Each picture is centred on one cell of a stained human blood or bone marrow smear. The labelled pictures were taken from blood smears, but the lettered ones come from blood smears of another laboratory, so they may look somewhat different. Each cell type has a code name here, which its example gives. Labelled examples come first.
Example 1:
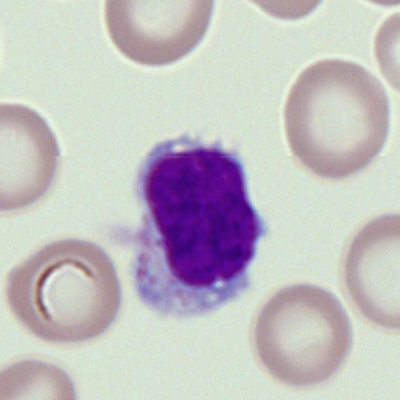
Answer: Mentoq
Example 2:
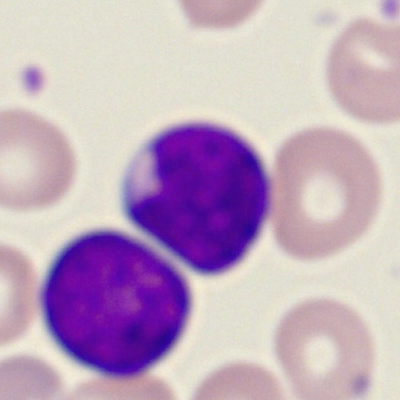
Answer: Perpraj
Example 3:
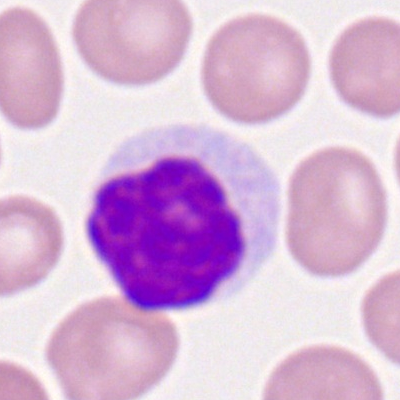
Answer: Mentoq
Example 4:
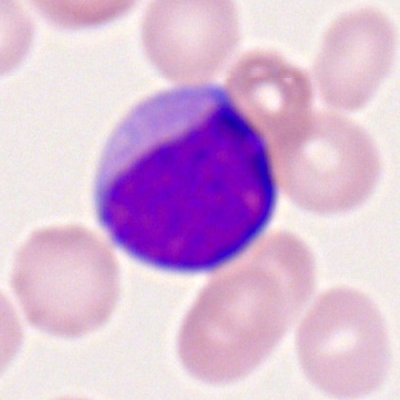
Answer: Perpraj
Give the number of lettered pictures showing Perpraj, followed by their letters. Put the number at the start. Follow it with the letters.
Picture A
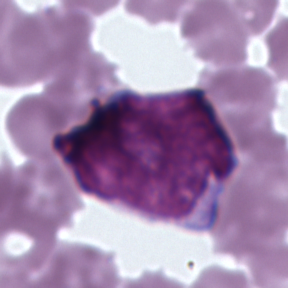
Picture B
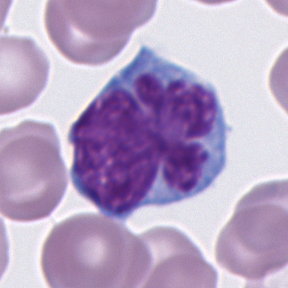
2, namely A, B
